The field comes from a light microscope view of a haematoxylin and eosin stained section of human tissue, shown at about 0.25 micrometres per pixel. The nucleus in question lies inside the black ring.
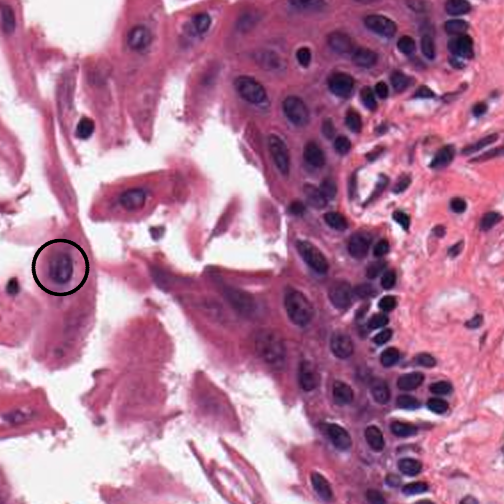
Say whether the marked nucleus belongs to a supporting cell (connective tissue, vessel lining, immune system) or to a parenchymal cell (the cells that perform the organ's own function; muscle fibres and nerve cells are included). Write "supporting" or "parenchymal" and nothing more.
parenchymal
